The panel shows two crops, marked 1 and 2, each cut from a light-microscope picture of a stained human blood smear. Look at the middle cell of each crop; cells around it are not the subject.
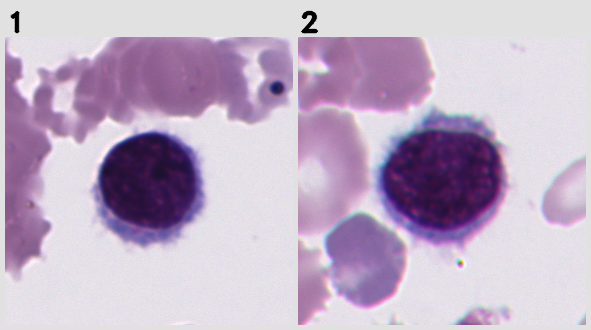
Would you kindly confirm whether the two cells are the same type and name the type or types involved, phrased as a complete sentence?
Yes, as for both crops, the cells shown are hairy cells.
